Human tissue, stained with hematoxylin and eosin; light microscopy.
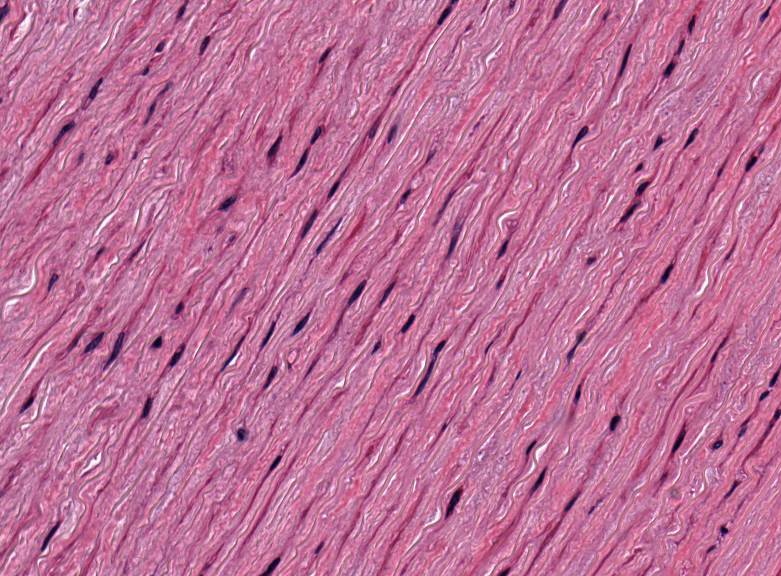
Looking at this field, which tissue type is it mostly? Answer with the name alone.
tunica media of an artery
